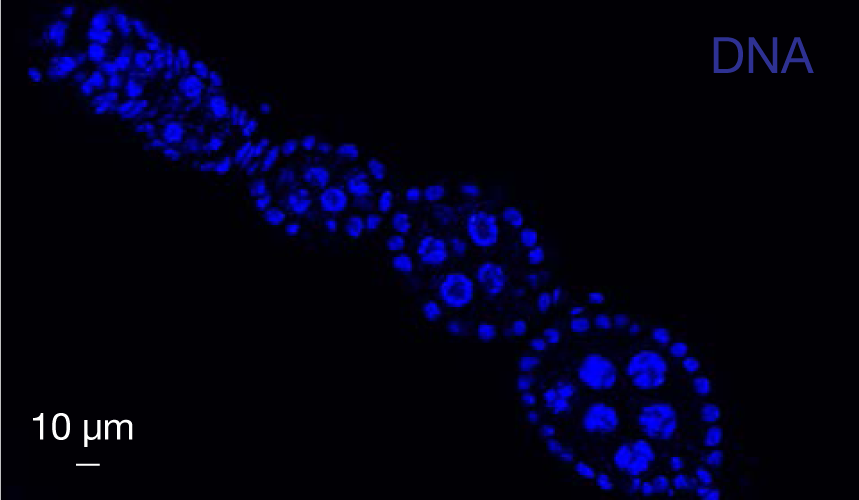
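This is a chain of developing chambers from an ovary, shown by their nuclei in blue. At the upper left end lies a narrow region packed with many small nuclei, and from there the chambers grow progressively larger toward the lower right. Narrow stalks of small nuclei link neighbouring chambers. The largest chamber, at the lower right, has the biggest central nuclei.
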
